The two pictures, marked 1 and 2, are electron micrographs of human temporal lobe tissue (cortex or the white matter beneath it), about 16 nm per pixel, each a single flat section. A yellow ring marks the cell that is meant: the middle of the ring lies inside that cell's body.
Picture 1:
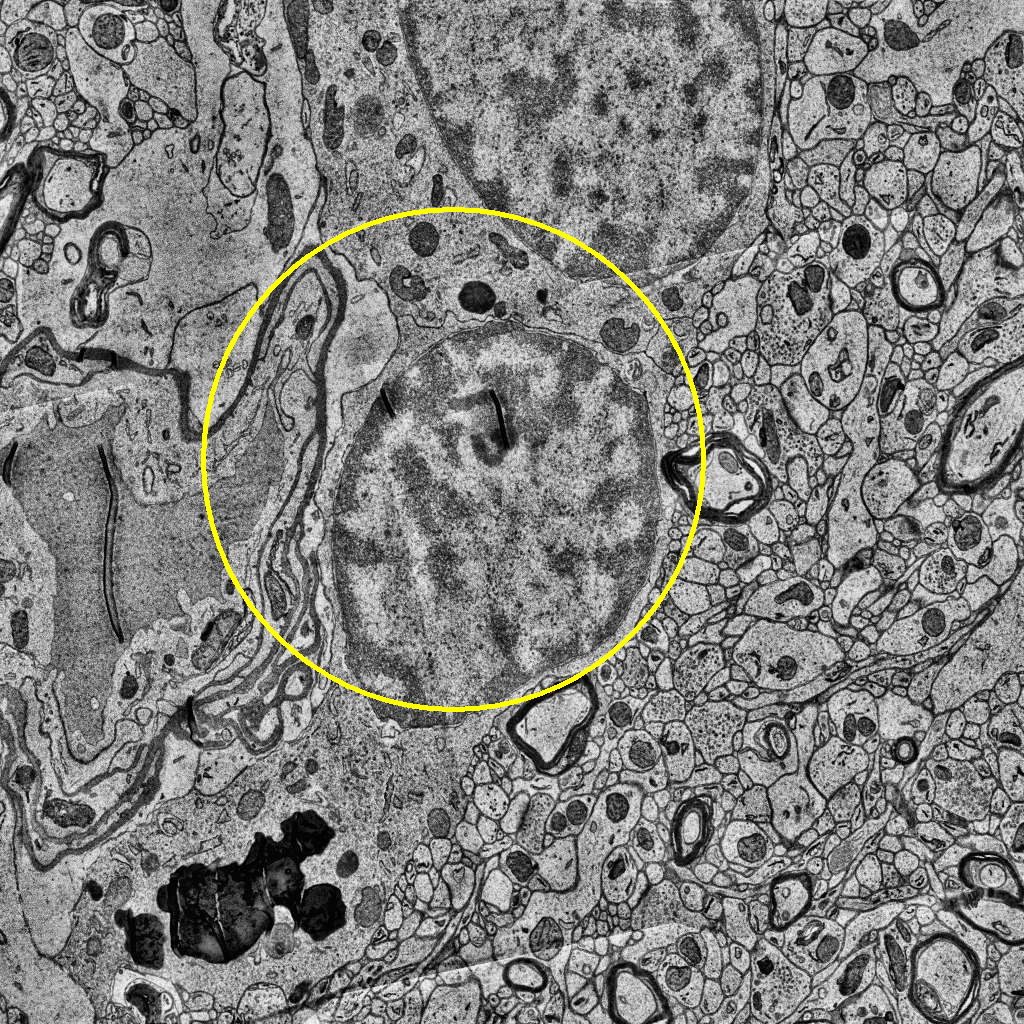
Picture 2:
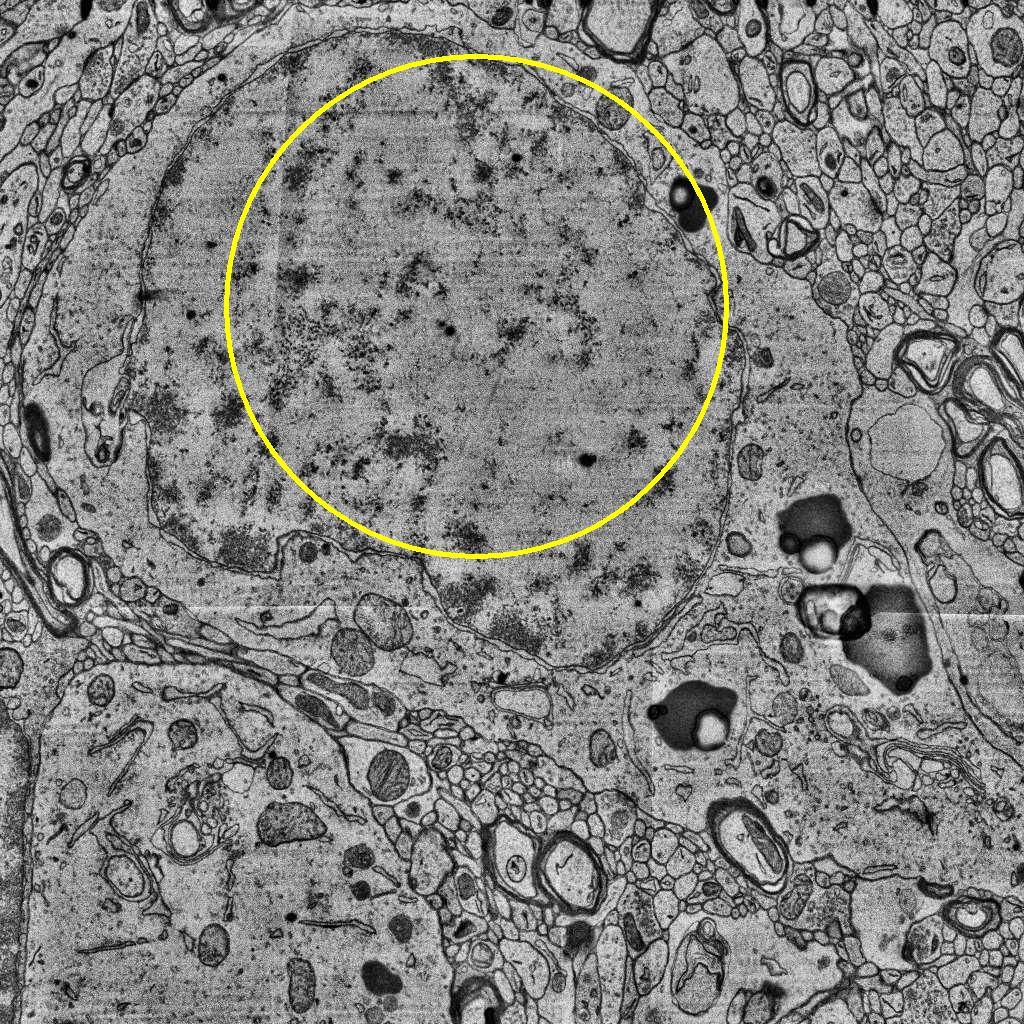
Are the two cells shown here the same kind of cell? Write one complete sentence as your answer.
No; the cell in picture 1 is an oligodendrocyte, while the one in picture 2 is an interneuron.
